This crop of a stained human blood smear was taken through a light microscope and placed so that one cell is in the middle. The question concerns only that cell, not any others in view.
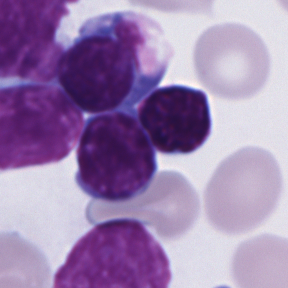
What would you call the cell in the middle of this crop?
blast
